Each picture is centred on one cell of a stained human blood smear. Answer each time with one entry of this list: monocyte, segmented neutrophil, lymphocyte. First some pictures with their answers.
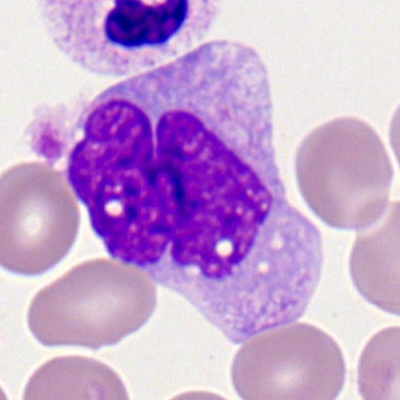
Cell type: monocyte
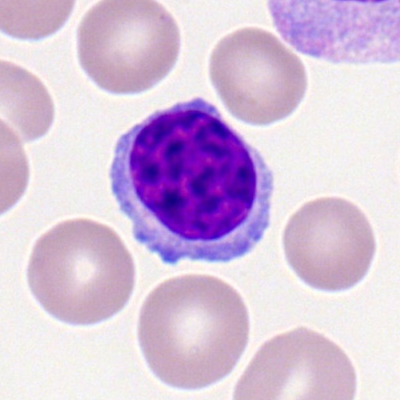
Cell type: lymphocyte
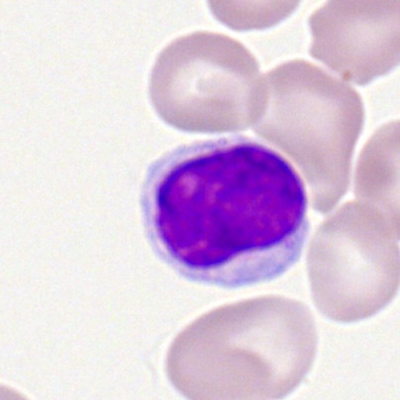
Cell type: lymphocyte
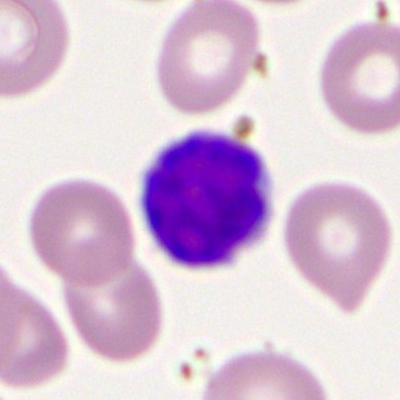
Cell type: lymphocyte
